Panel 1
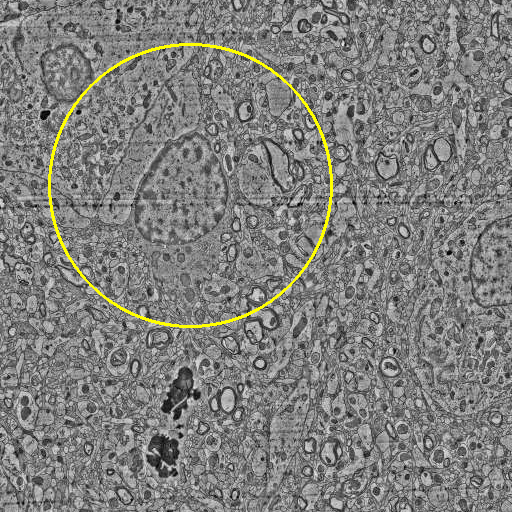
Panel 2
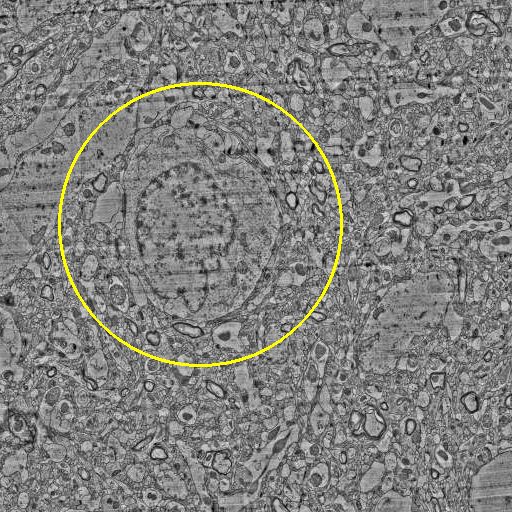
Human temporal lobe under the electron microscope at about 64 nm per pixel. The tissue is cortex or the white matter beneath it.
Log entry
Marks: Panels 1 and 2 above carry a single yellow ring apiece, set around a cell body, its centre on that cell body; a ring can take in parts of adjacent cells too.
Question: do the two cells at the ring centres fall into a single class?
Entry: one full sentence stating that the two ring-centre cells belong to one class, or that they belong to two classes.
The two ring-centre cells in Panels 1 and 2 belong to two classes.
